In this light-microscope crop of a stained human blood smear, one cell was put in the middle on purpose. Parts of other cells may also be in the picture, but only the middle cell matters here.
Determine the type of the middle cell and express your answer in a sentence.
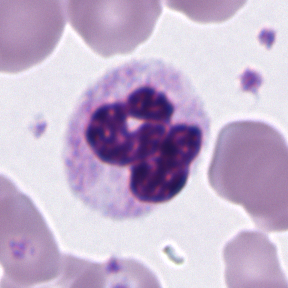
The cell the crop is centered on is a segmented neutrophil.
